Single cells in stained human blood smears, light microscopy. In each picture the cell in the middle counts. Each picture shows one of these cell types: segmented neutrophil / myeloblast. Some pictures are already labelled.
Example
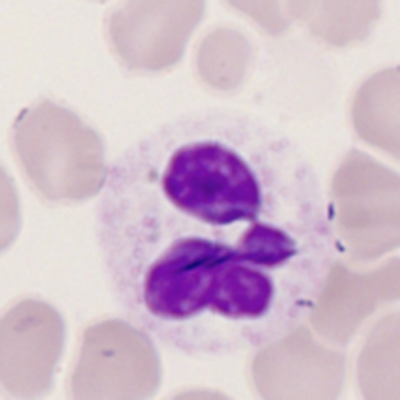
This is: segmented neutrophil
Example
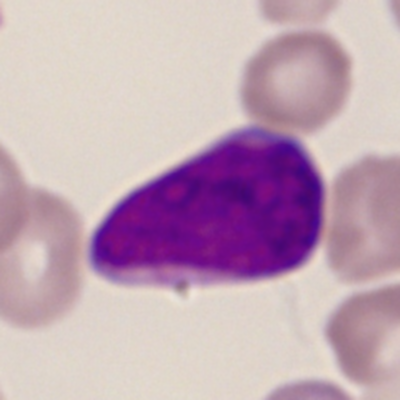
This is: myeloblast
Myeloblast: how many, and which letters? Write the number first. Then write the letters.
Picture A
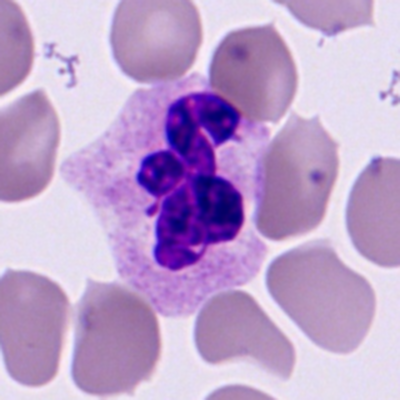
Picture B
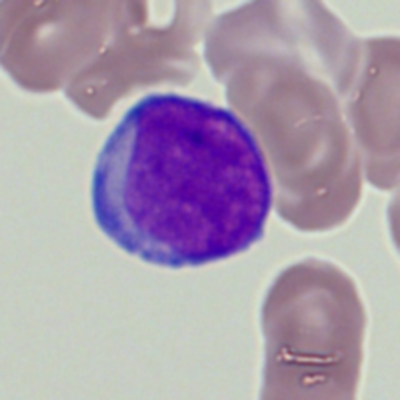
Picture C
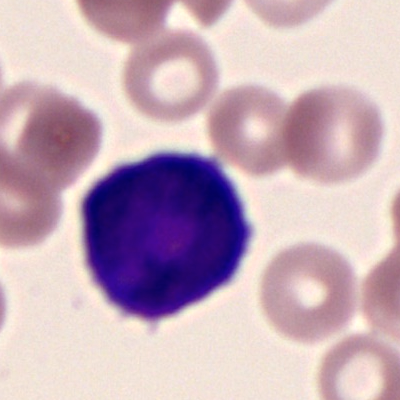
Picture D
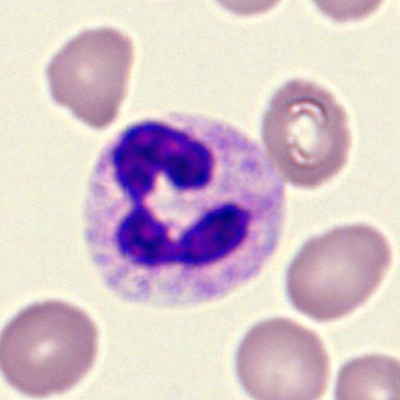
Count: 2 (B, C)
